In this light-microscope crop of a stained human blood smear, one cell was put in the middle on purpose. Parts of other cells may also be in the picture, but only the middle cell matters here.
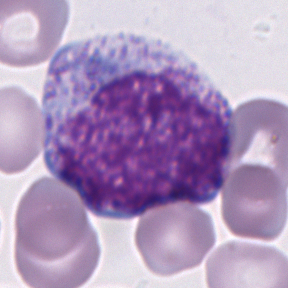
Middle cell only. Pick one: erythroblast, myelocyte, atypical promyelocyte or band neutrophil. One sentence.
As for the central cell, it is a myelocyte.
